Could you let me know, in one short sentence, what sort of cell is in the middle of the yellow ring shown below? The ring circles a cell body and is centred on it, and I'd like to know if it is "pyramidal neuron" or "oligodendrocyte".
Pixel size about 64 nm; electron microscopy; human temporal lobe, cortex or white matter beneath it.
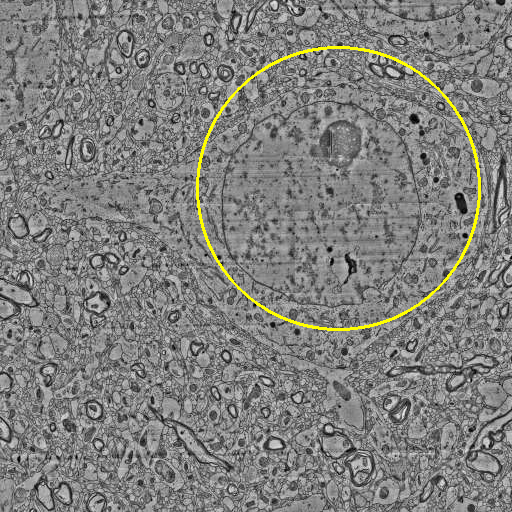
The ring circles the cell body of a pyramidal neuron.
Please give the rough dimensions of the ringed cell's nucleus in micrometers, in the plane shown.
In this plane, the nucleus of the cell at the centre of the ring is about 13 micrometres across.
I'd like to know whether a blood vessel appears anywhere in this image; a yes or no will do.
No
